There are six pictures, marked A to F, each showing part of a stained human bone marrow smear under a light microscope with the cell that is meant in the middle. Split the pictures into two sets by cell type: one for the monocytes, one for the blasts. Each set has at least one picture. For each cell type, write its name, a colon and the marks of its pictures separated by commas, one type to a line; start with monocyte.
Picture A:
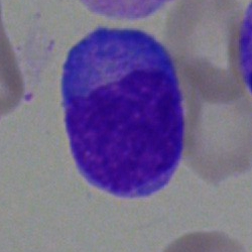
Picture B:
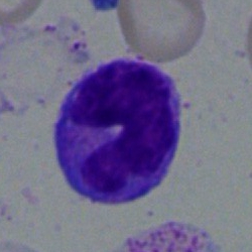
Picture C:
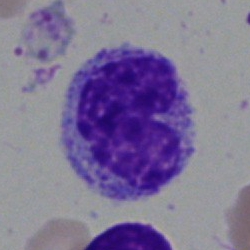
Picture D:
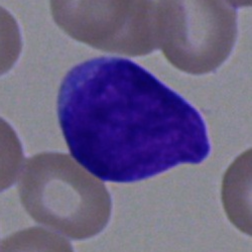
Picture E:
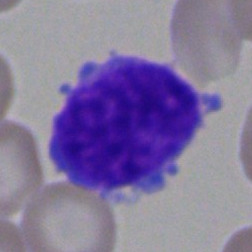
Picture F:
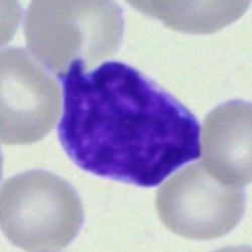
monocyte: B, C
blast: A, D, E, F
